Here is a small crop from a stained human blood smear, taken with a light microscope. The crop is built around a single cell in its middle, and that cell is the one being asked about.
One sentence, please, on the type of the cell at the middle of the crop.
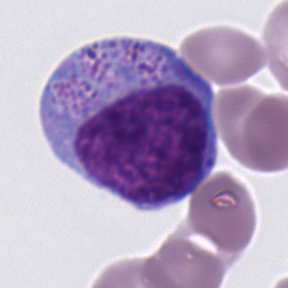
Regarding the central cell, it is an atypical promyelocyte.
